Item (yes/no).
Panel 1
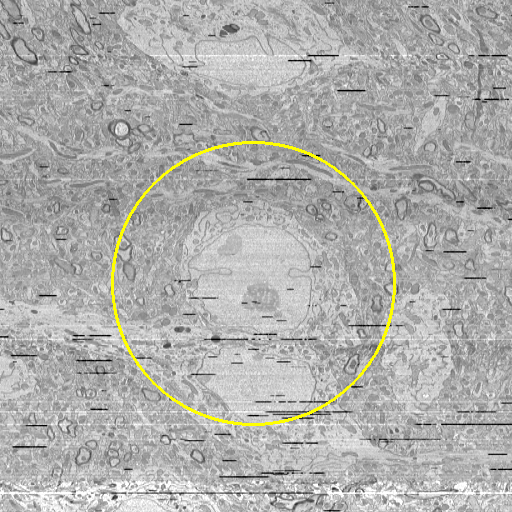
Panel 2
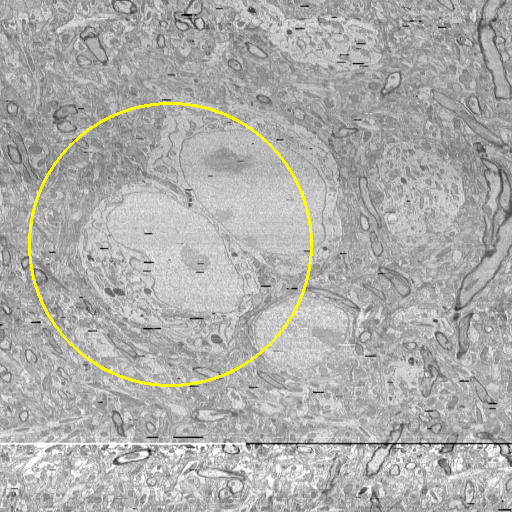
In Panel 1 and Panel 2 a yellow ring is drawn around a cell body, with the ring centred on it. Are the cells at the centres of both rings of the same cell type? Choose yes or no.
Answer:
yes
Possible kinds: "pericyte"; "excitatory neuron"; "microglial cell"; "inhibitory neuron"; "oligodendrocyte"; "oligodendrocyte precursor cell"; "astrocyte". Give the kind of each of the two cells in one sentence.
Both rings mark an inhibitory neuron, one in each picture.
